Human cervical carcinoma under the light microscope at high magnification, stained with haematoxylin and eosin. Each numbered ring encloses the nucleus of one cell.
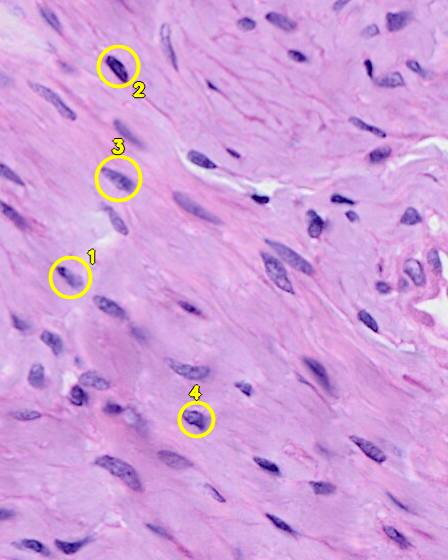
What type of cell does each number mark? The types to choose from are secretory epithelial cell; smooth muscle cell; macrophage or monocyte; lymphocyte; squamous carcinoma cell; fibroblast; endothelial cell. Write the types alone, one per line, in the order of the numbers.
fibroblast
lymphocyte
fibroblast
fibroblast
